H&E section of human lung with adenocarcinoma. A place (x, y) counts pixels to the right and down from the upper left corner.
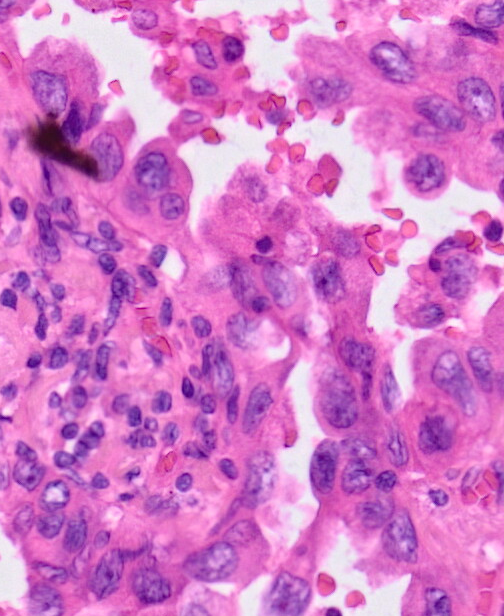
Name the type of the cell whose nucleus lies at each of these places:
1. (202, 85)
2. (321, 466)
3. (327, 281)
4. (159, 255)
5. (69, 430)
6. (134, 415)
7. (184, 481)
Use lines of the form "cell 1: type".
cell 1: macrophage or monocyte
cell 2: carcinoma cell
cell 3: carcinoma cell
cell 4: lymphocyte
cell 5: lymphocyte
cell 6: lymphocyte
cell 7: lymphocyte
